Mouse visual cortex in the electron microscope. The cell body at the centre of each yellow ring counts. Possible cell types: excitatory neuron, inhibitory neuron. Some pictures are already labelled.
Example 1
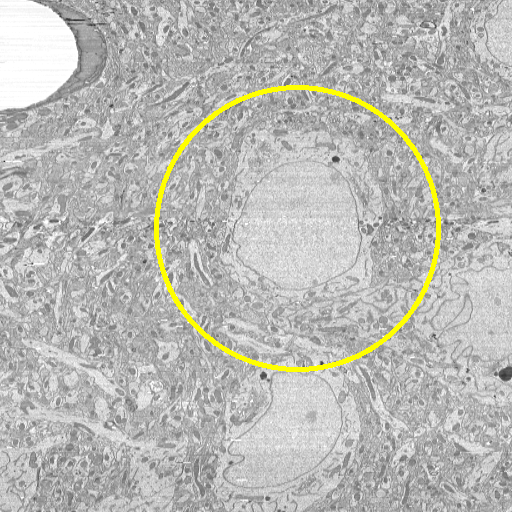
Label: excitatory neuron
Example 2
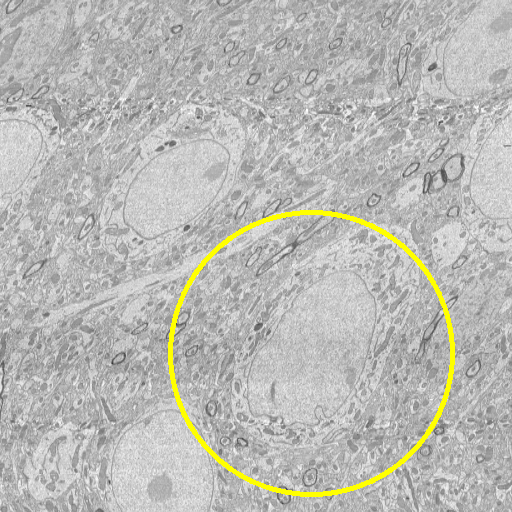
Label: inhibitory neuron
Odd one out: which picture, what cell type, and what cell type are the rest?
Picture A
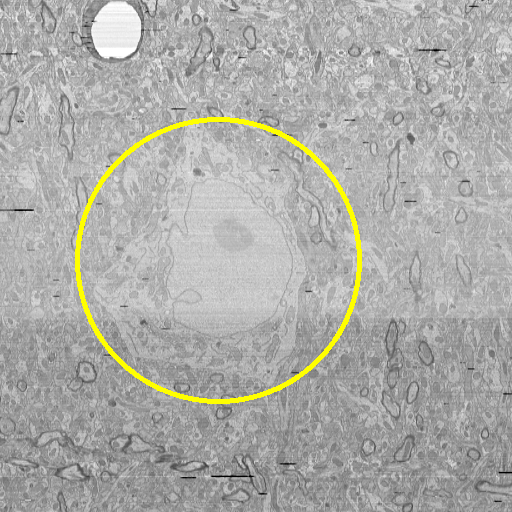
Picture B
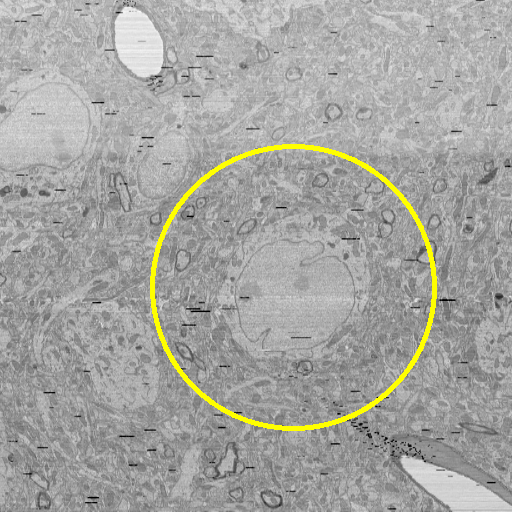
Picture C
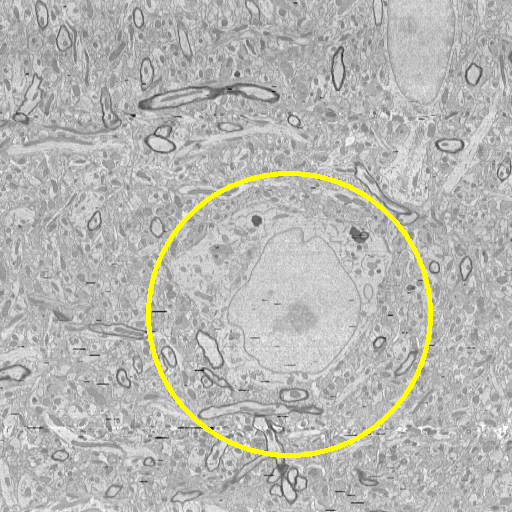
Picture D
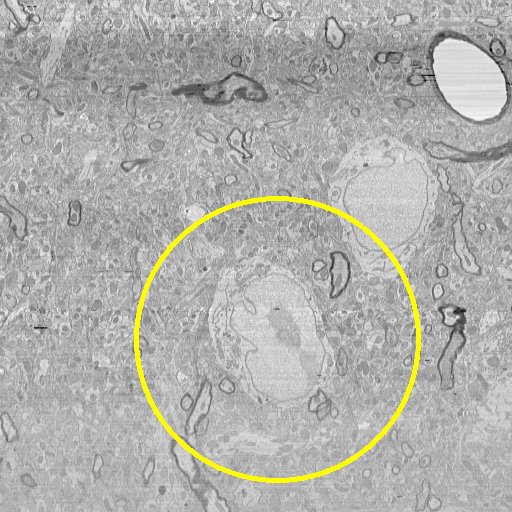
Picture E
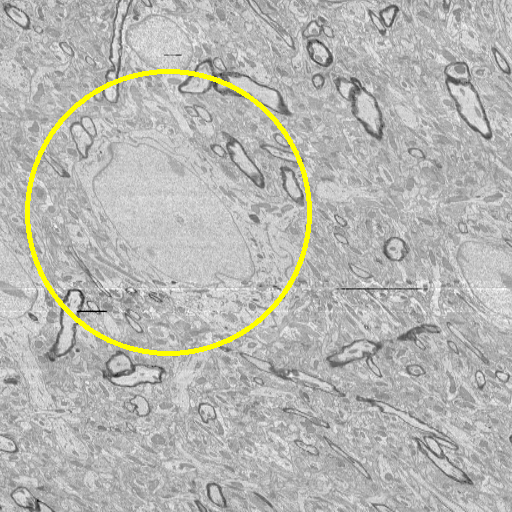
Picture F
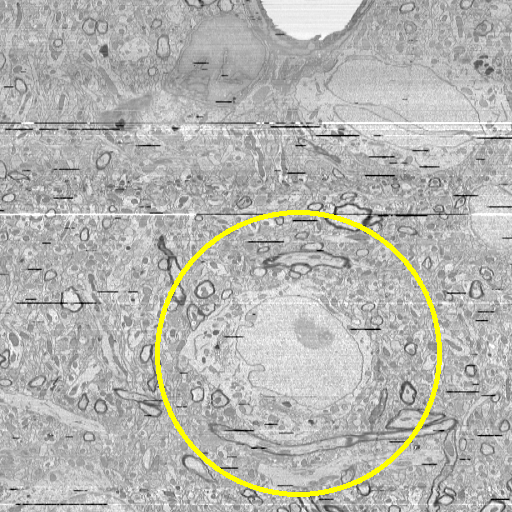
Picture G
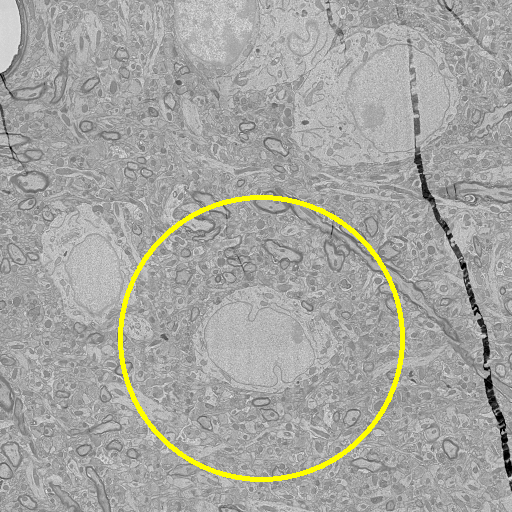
D: inhibitory neuron; all the others: excitatory neuron.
